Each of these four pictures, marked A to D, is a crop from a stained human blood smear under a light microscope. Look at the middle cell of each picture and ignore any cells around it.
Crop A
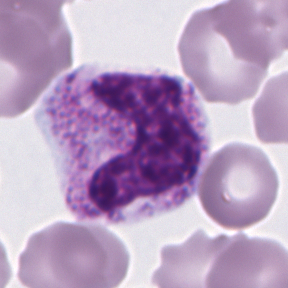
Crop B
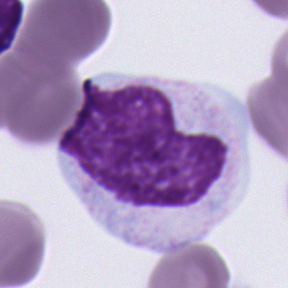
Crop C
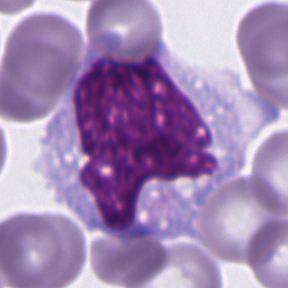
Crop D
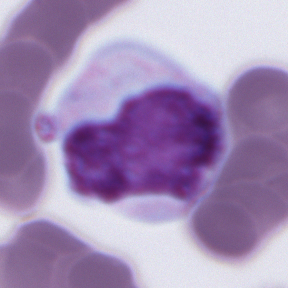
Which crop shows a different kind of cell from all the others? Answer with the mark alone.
C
